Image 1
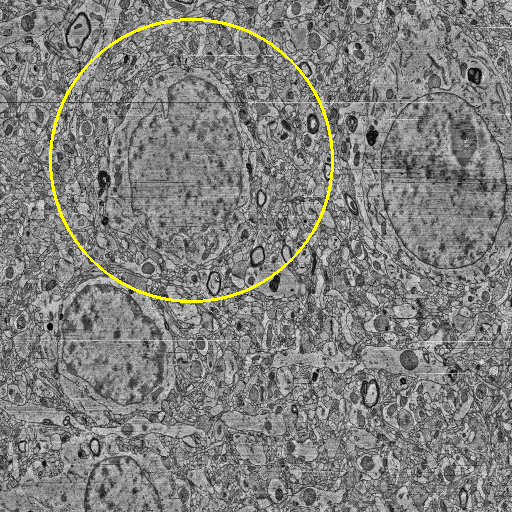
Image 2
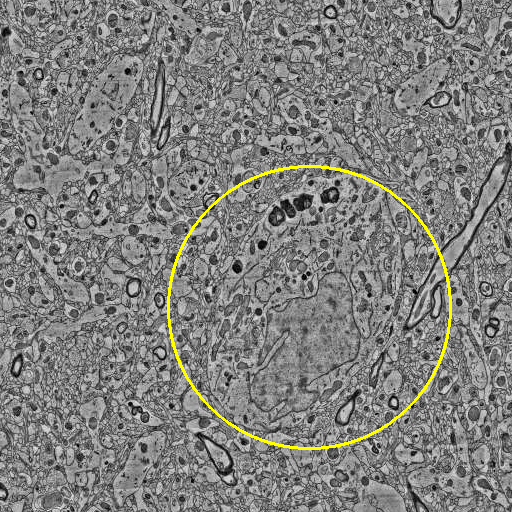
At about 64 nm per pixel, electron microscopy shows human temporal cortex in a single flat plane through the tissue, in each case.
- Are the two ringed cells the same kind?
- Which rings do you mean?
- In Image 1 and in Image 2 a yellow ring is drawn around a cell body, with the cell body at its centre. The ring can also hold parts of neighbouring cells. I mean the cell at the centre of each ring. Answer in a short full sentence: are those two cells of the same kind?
Yes, both cells are of the same kind.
